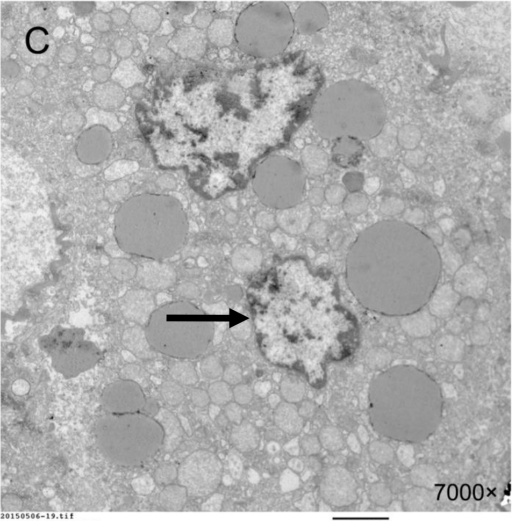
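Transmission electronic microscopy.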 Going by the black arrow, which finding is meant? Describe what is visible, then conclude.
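The nucleus at the arrow has an irregular, scalloped outline. Dense dark chromatin clumps lie along the inner edge of the nuclear envelope. The centre of the nucleus is pale.
Chromatin margination and condensation.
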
